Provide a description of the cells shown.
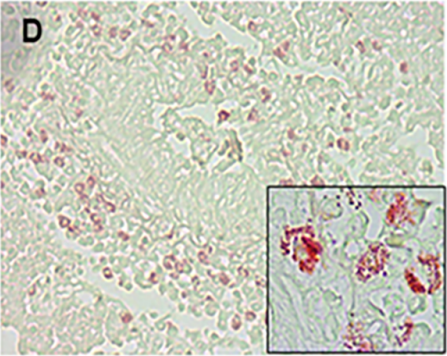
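Lung parenchyma in which many eosinophils are scattered densely through thickened, crowded tissue, each showing red-stained cytoplasm. At higher power the eosinophils are filled with coarse red granules, and some granules lie free beside the cells, as in degranulation.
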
